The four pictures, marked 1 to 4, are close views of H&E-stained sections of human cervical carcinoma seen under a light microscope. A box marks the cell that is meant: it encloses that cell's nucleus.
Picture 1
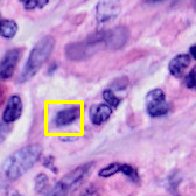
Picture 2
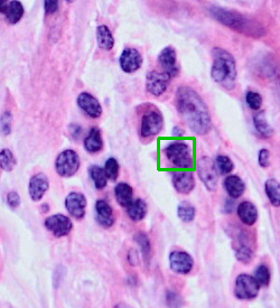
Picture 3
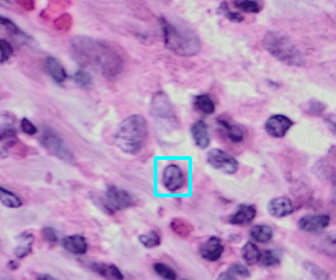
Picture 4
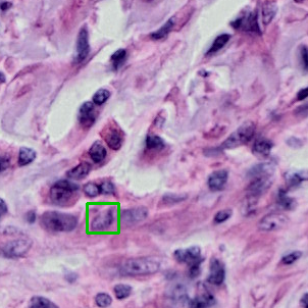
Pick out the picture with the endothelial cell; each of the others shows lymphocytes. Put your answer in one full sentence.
The cell in picture 4 is the endothelial cell.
